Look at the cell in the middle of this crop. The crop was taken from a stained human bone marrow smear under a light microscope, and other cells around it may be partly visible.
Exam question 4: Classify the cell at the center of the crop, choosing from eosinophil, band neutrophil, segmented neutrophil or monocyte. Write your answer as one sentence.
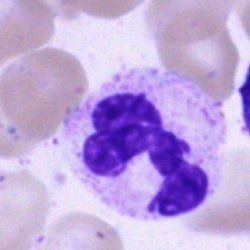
This crop has a segmented neutrophil at its centre.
